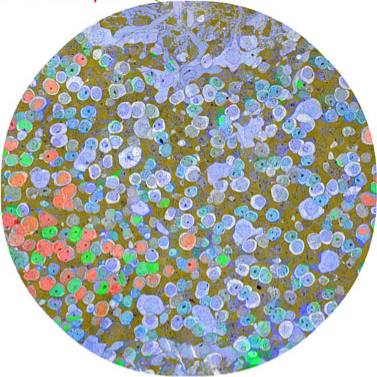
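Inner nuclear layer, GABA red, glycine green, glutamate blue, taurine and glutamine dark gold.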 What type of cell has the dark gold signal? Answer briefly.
Retinal glia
